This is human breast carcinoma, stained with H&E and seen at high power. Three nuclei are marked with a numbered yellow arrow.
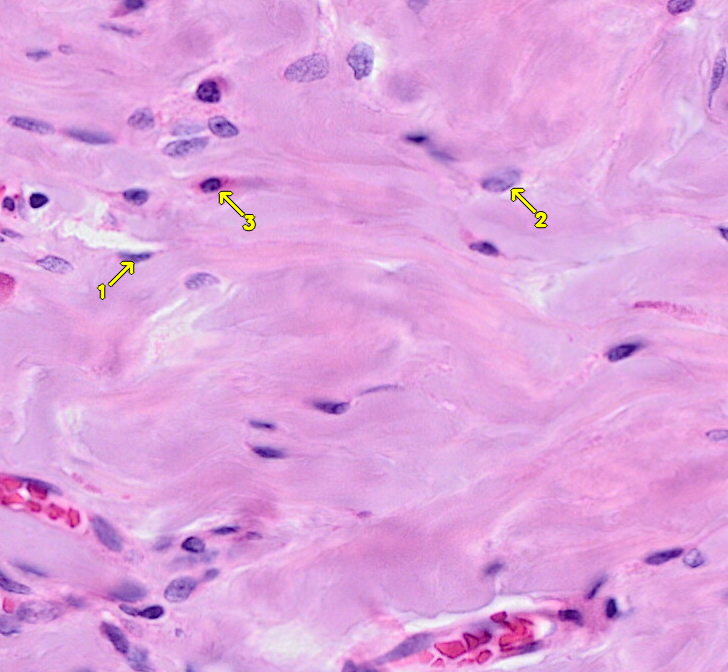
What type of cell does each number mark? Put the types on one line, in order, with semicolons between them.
fibroblast; fibroblast; mast cell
